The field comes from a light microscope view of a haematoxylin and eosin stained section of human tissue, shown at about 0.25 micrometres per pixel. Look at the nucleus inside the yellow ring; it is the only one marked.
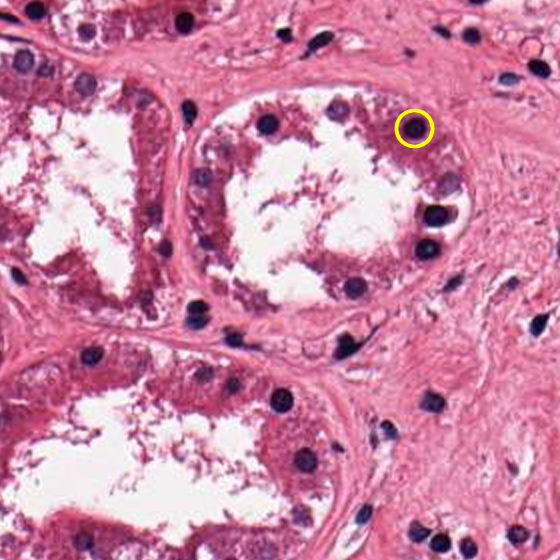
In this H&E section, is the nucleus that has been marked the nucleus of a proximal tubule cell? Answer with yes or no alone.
yes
